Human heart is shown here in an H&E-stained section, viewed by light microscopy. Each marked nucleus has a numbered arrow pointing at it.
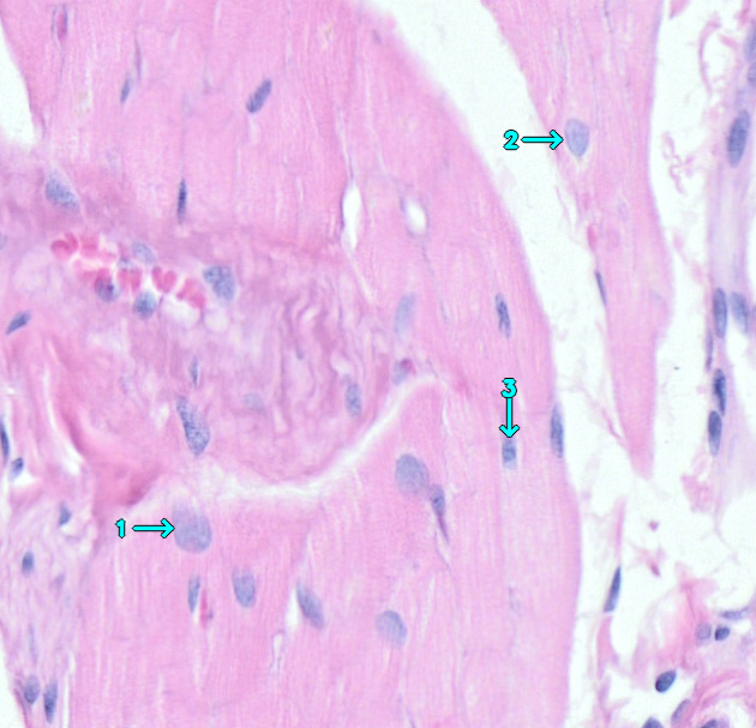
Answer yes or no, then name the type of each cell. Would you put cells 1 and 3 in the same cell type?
No, the correct reading has cell 1 as a cardiomyocyte and cell 3 as an endothelial cell.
